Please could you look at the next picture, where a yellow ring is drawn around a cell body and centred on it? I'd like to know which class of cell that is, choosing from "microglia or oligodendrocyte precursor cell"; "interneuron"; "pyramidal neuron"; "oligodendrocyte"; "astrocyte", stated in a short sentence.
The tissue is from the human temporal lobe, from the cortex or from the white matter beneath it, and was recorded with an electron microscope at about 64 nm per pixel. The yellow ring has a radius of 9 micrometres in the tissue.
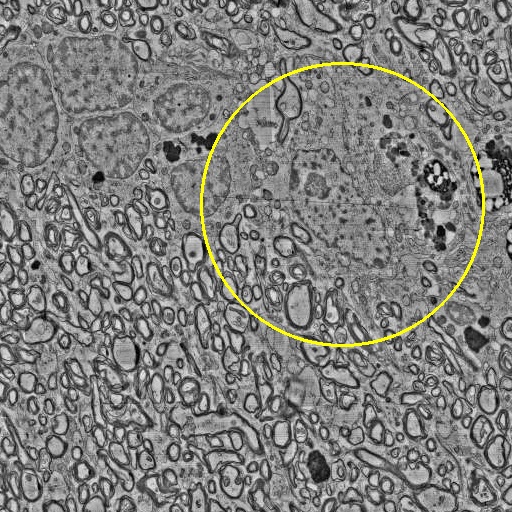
The ring's centre lies on an astrocyte.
